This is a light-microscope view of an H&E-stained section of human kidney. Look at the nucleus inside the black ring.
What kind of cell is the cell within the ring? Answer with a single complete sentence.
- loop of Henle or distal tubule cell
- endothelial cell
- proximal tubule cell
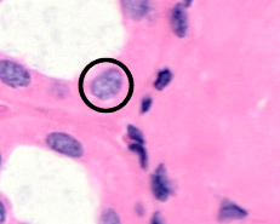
The identity of the cell within the ring is that of a loop of Henle or distal tubule cell.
